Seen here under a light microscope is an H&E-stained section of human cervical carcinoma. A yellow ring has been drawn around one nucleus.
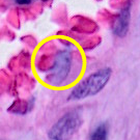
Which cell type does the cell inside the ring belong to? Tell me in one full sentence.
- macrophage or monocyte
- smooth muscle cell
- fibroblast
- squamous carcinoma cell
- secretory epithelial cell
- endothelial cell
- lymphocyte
Right, so the cell inside the ring is an endothelial cell, to answer that.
